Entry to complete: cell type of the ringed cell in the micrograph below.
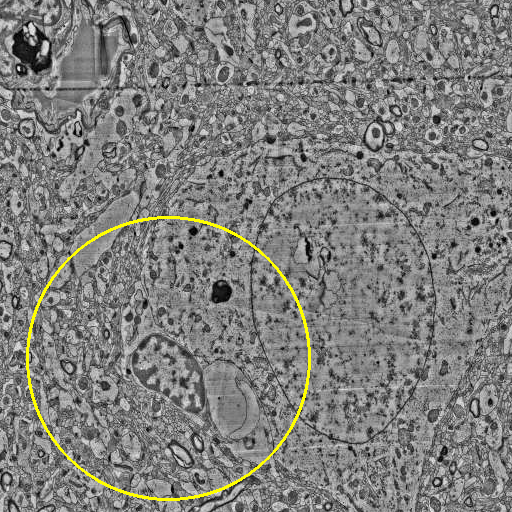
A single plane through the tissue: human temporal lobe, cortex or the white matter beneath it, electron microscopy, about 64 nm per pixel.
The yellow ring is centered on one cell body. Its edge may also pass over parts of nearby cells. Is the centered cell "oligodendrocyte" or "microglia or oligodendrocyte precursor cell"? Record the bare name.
microglia or oligodendrocyte precursor cell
